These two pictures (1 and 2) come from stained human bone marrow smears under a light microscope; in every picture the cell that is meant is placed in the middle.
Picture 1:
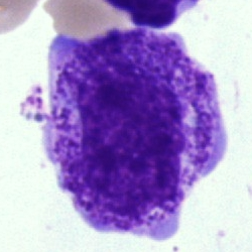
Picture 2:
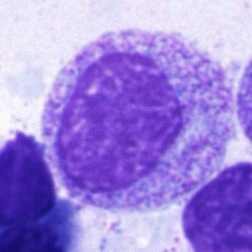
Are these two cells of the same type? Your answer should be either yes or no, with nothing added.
yes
